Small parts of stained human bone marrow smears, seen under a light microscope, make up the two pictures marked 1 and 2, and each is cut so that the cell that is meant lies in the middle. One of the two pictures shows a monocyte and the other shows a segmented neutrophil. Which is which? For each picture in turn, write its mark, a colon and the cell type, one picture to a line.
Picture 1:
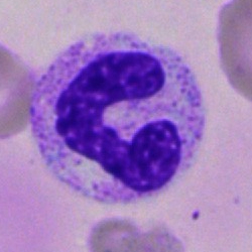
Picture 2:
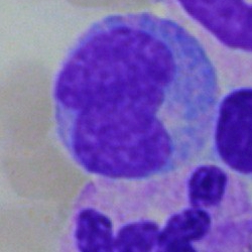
1: segmented neutrophil
2: monocyte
